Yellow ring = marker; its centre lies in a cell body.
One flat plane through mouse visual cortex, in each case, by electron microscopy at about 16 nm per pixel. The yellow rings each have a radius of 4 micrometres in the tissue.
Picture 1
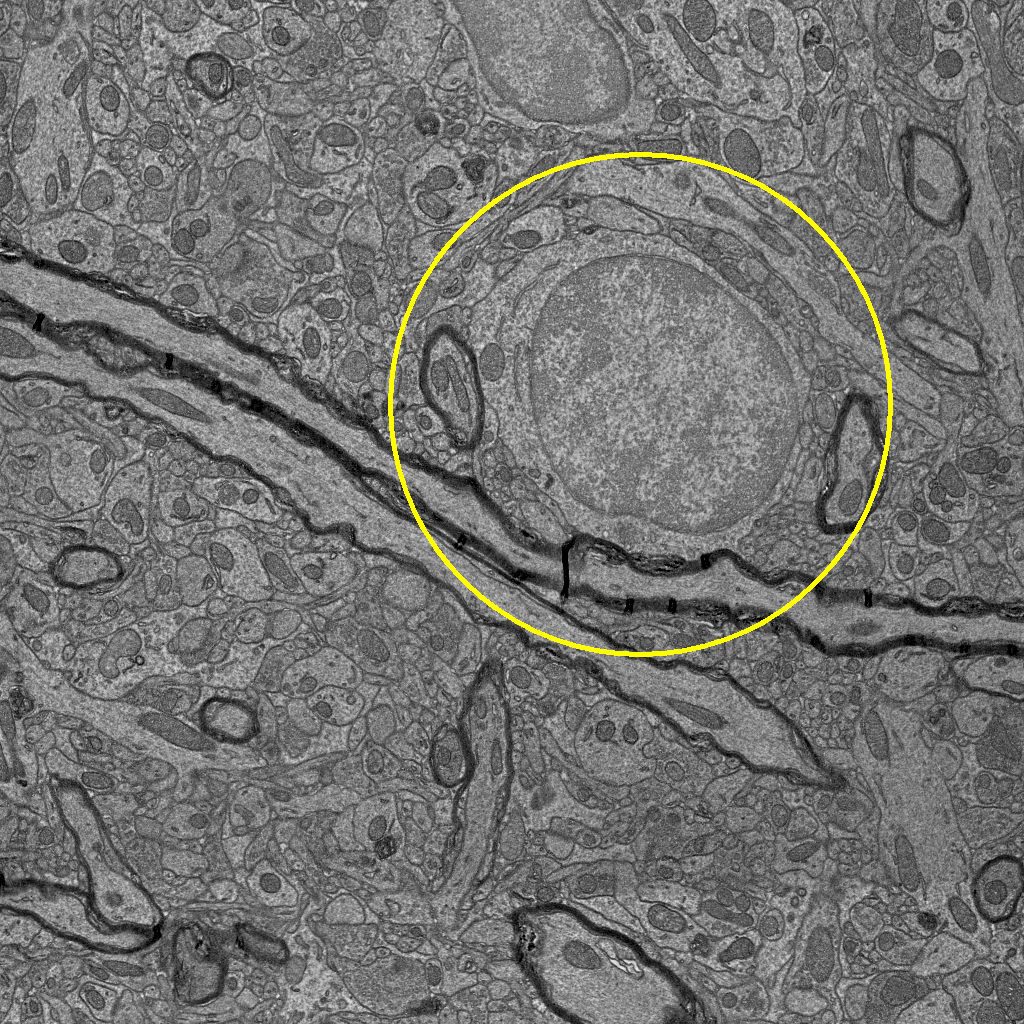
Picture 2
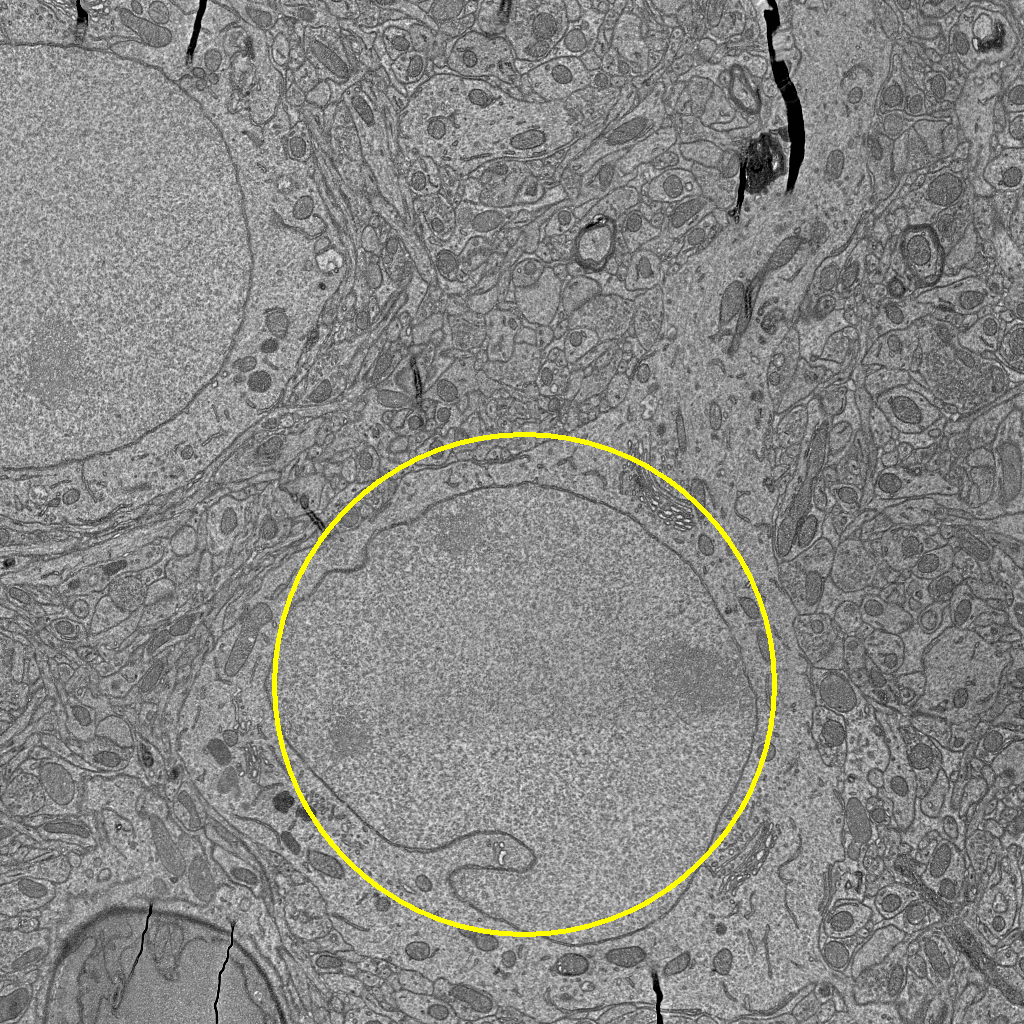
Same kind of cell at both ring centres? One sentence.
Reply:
No, they are two kinds of cell.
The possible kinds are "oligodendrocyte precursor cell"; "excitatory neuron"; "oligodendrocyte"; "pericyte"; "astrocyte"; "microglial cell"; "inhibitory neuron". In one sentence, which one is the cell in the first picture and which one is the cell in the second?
The ring in the first picture surrounds an oligodendrocyte, and the ring in the second surrounds an excitatory neuron.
